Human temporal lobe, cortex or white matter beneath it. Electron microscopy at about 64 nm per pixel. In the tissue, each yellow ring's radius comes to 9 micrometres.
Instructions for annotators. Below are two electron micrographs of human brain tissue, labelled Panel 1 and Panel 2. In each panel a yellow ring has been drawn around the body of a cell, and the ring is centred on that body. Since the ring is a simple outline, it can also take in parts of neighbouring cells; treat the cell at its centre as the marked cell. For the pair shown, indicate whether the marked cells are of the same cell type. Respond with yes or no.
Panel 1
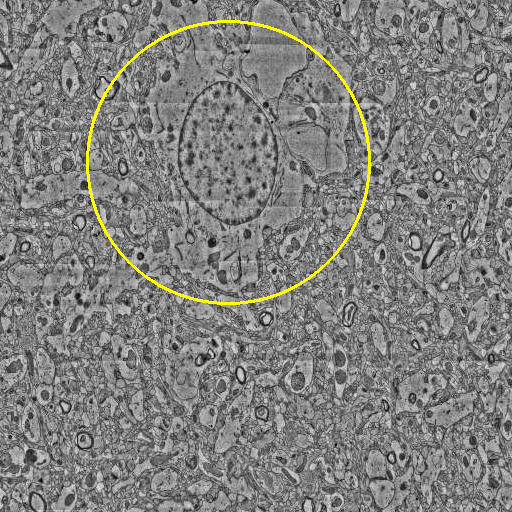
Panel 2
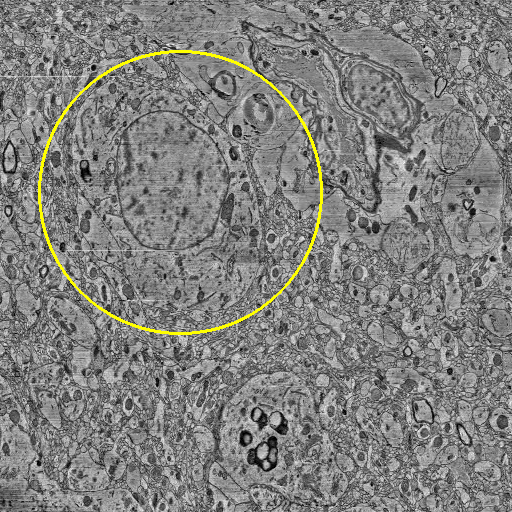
no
